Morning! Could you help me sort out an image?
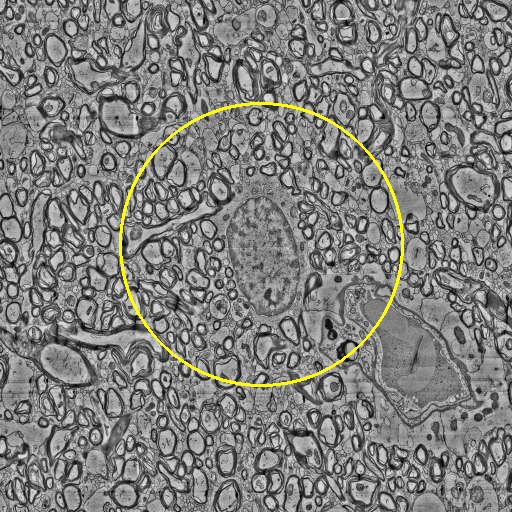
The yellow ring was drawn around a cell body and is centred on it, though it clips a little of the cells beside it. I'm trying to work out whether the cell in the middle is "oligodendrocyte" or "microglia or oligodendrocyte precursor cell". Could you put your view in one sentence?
The ringed cell body is that of an oligodendrocyte.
